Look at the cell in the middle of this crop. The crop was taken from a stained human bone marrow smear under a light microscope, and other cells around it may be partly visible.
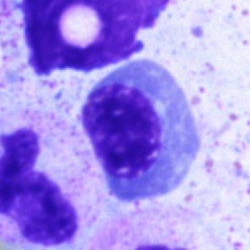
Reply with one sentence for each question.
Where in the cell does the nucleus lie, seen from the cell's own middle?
The nucleus is pushed toward the left of the cell.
